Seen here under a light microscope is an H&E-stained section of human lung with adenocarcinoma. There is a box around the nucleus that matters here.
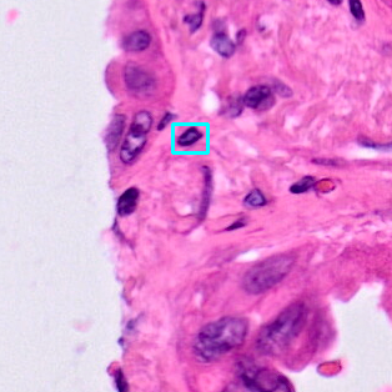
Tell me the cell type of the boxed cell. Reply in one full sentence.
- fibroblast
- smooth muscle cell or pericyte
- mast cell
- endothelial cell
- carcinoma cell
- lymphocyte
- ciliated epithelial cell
Within the stained tissue, the boxed cell is a mast cell.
